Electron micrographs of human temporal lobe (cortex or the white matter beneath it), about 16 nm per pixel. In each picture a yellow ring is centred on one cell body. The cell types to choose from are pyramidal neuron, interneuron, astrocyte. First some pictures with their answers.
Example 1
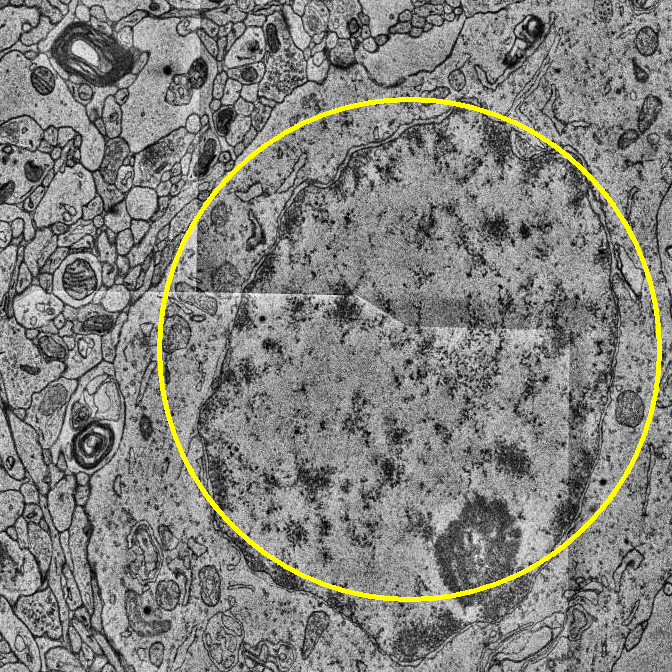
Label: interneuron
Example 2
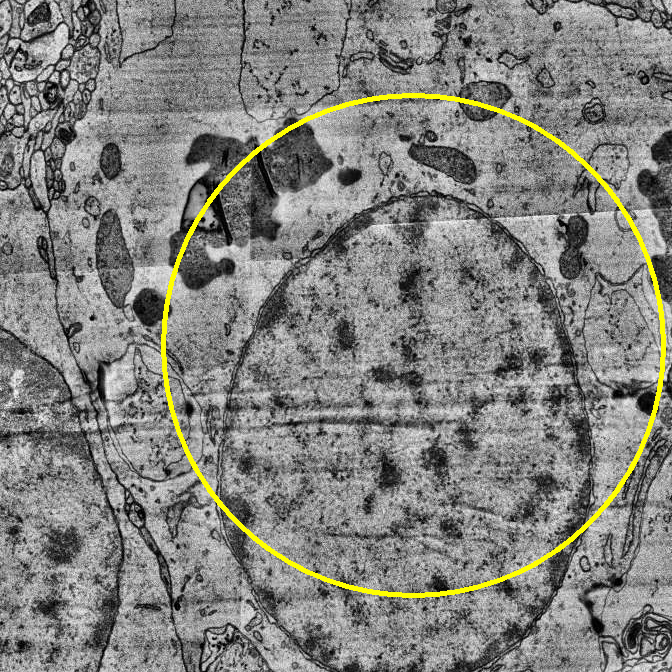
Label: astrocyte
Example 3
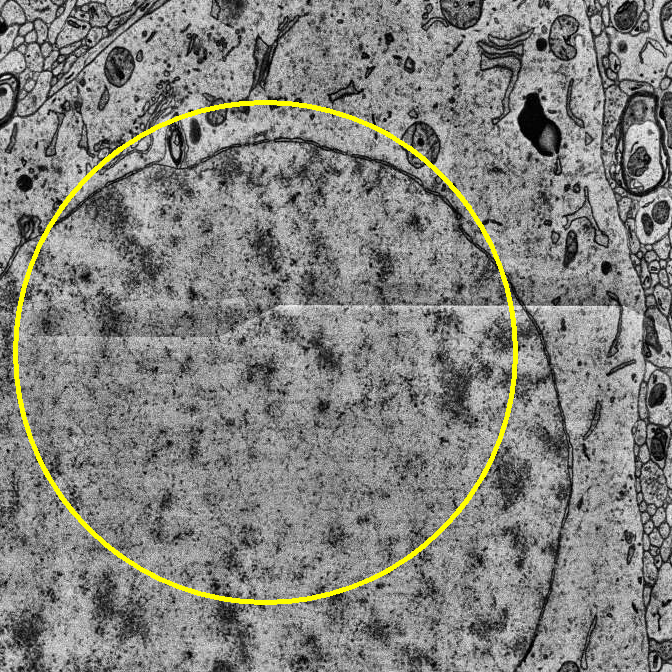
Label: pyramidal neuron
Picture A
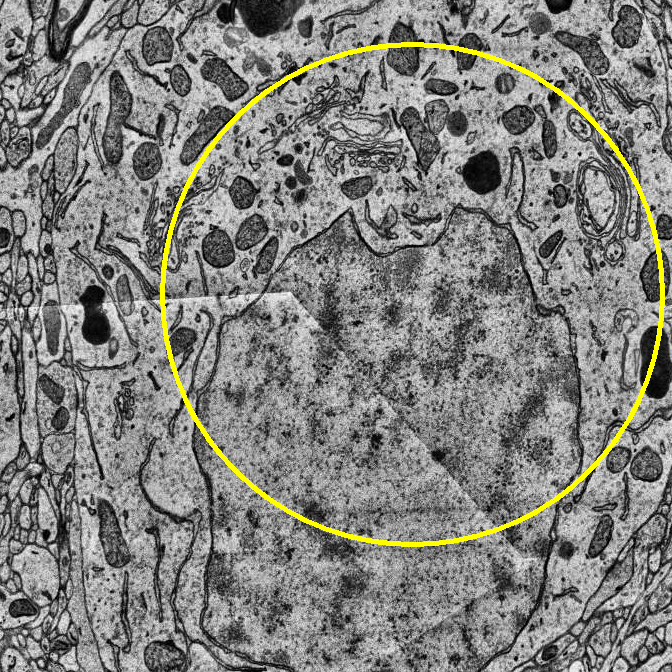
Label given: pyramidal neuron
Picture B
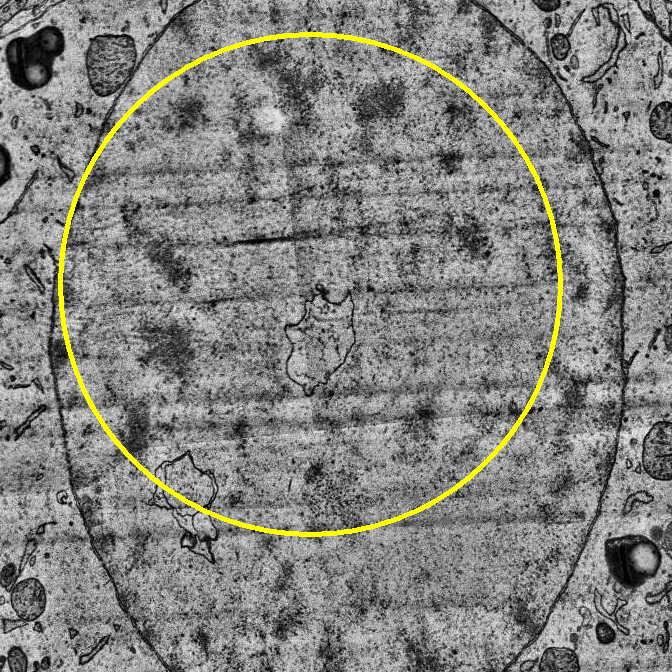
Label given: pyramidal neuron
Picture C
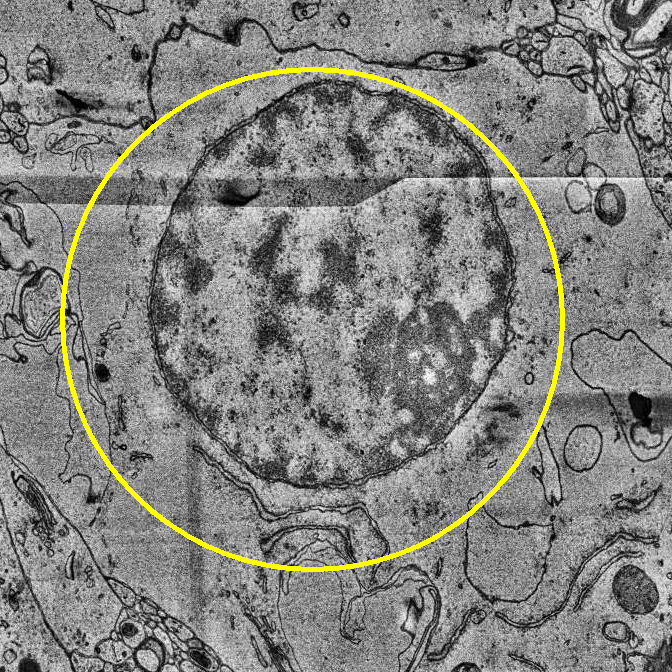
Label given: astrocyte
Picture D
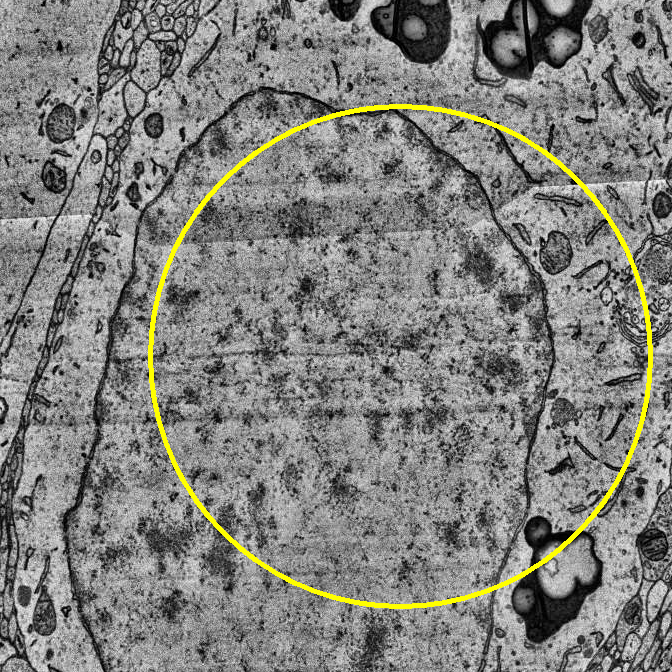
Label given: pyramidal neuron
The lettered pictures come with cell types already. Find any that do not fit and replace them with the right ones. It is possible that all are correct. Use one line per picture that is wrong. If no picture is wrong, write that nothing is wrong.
A should be interneuron, not pyramidal neuron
